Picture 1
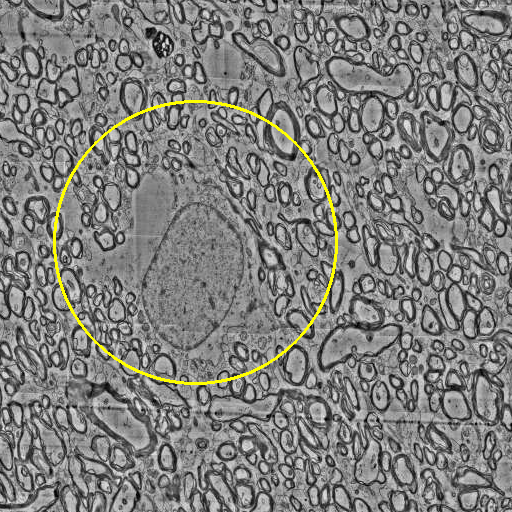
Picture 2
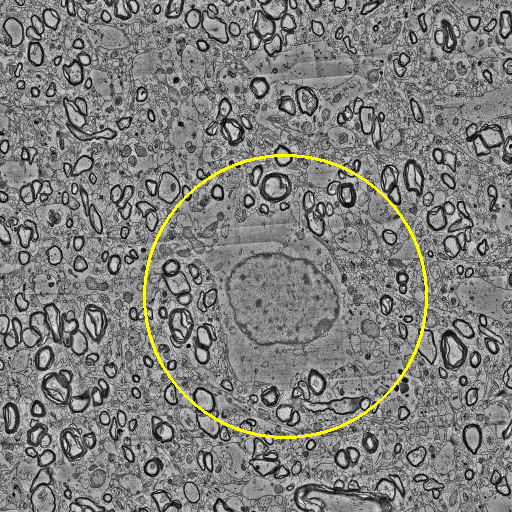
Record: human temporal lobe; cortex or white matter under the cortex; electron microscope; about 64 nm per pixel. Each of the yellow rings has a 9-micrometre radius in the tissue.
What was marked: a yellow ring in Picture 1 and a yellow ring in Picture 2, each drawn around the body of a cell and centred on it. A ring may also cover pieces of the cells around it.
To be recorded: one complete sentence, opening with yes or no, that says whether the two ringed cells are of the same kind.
Yes, the two ringed cells are of the same kind.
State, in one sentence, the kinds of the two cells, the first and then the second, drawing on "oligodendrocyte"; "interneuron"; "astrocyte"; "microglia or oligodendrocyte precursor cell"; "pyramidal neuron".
The ring centre holds an astrocyte in each of the two pictures.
